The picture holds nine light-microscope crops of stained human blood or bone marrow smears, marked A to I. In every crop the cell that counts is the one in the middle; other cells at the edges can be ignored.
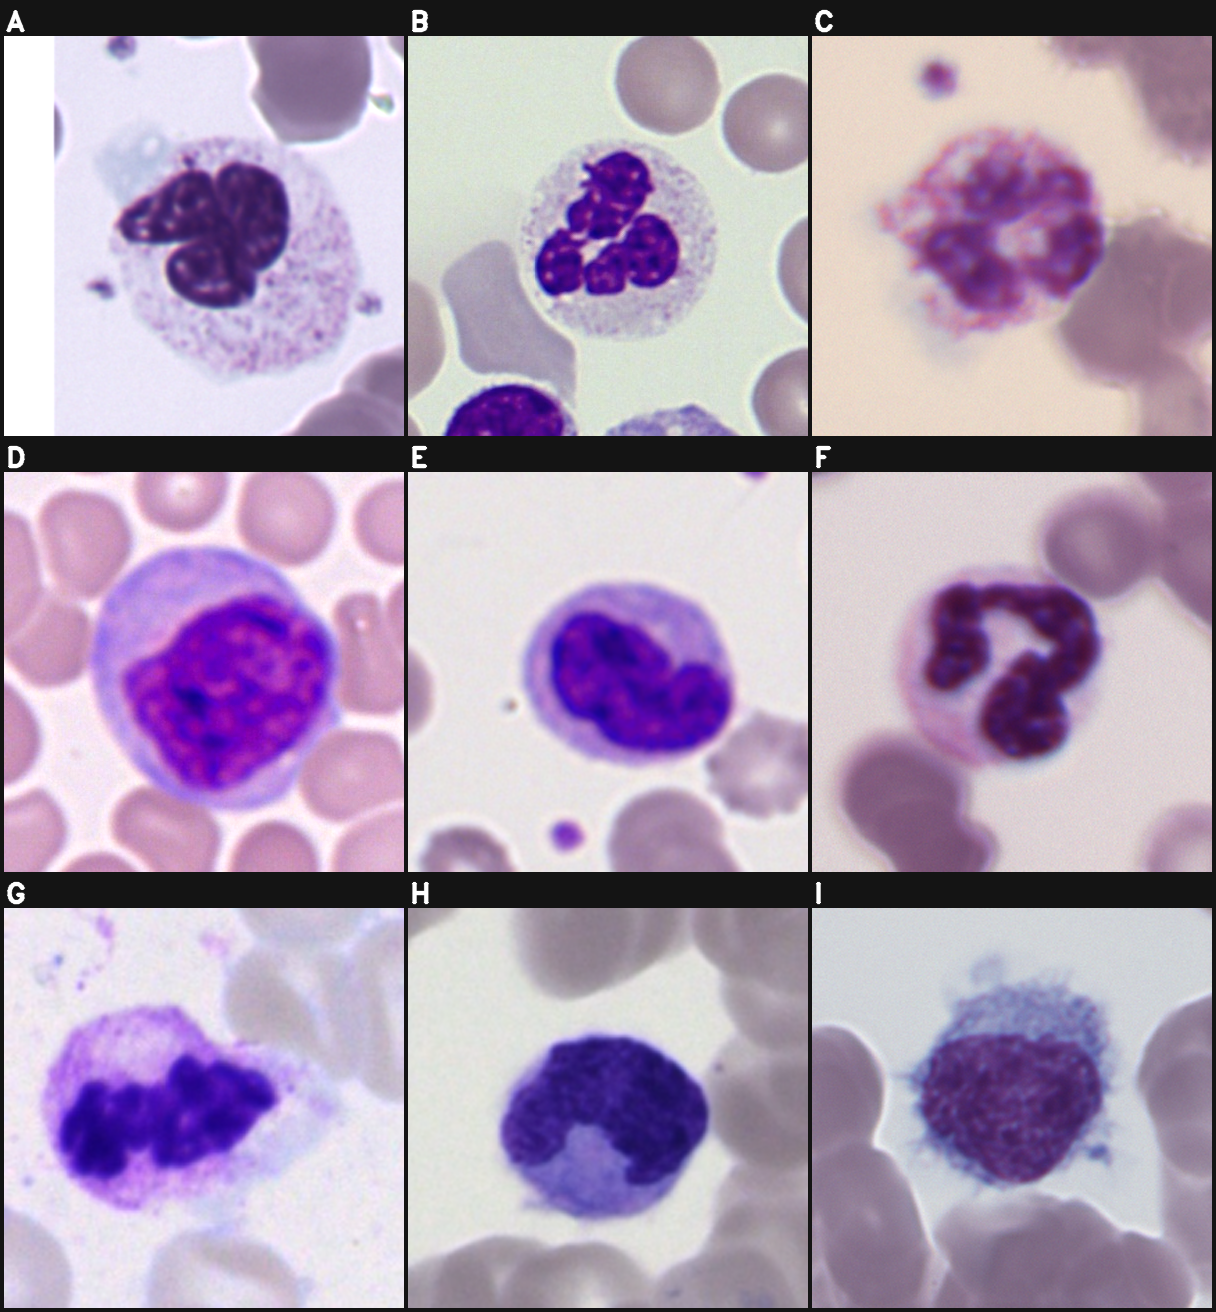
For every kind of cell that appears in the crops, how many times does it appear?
segmented neutrophil: 5
monocyte: 4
